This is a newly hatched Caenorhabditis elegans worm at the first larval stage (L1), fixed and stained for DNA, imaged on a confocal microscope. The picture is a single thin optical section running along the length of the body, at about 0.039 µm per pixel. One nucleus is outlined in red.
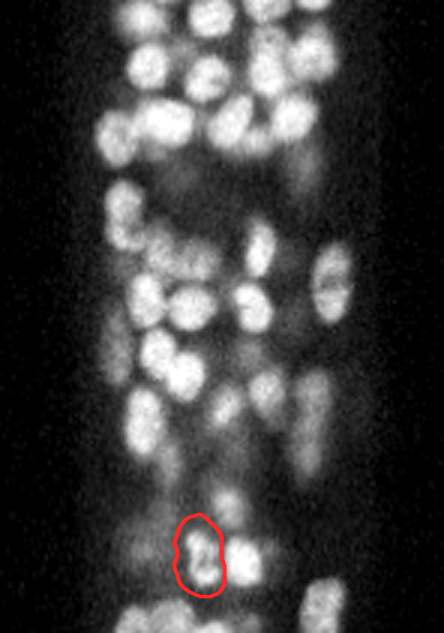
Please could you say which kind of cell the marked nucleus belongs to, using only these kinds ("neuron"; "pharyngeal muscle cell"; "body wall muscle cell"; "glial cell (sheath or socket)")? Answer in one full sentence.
This is the nucleus of a pharyngeal muscle cell.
